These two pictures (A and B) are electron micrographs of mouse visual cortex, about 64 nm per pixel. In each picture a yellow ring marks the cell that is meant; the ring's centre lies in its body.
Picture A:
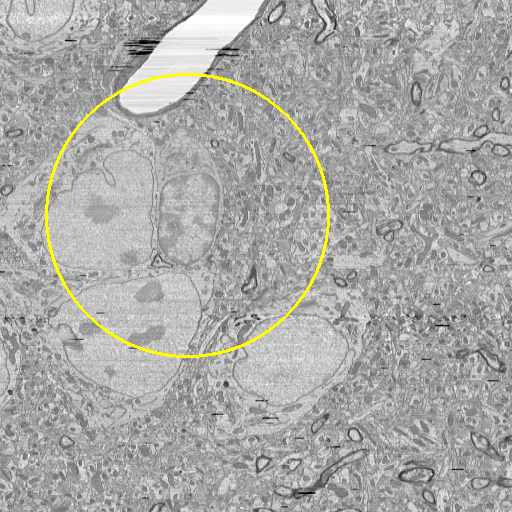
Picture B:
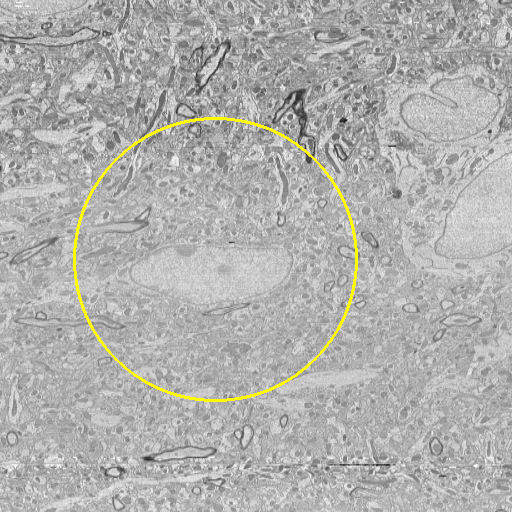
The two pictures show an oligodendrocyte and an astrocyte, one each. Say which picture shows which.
It is picture A that shows an oligodendrocyte, and picture B that shows an astrocyte.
